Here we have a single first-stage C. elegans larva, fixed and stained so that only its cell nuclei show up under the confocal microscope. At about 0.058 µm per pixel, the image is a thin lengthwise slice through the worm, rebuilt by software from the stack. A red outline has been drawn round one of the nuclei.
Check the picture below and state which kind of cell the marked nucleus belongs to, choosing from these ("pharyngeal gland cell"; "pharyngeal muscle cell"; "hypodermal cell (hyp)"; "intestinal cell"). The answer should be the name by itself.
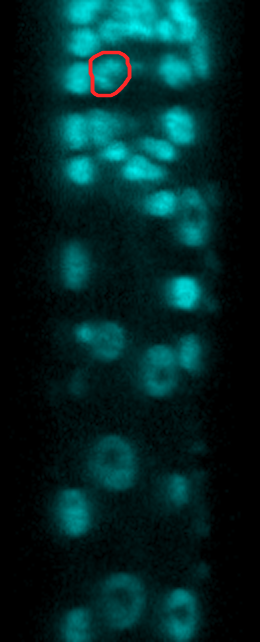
pharyngeal muscle cell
